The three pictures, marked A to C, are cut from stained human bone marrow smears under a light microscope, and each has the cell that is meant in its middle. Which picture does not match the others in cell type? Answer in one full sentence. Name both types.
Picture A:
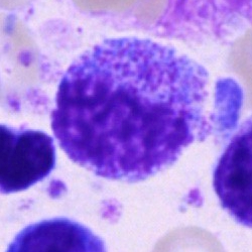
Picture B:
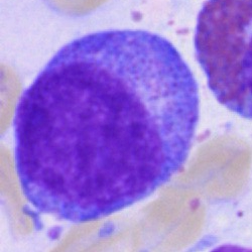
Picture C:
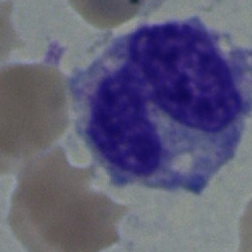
Picture C is the odd one out: it shows a monocyte, while the others show promyelocytes.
